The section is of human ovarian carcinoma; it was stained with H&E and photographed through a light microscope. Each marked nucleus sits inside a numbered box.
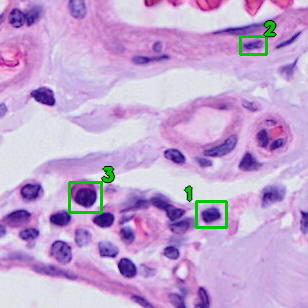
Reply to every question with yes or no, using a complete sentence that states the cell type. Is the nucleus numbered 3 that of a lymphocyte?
Yes, the marked cell number 3 is a lymphocyte.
